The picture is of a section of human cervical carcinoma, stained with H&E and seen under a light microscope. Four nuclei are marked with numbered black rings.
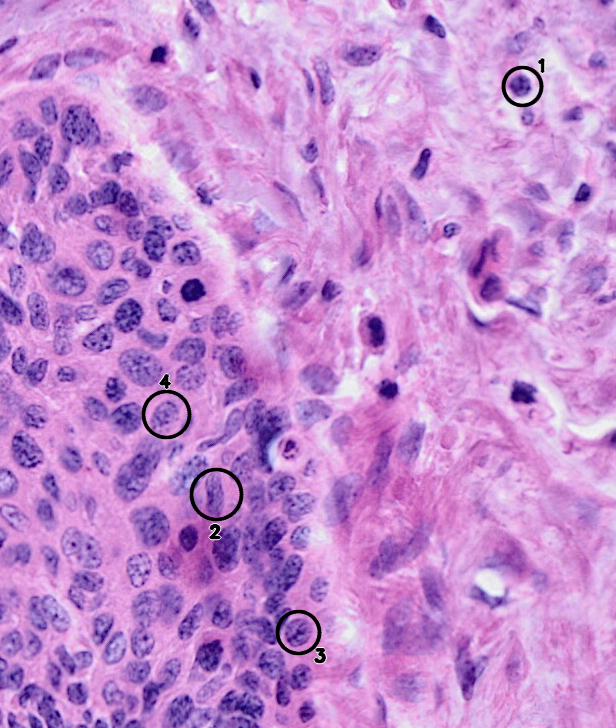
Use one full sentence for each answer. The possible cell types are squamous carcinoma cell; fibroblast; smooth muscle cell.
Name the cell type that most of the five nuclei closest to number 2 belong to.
Of the five nuclei nearest to number 2, most belong to squamous carcinoma cells.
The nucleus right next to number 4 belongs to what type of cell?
Closest to number 4 lies the nucleus of a squamous carcinoma cell.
